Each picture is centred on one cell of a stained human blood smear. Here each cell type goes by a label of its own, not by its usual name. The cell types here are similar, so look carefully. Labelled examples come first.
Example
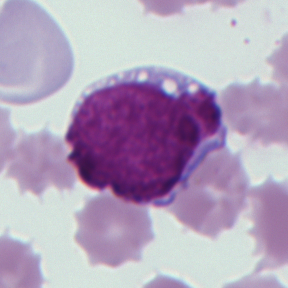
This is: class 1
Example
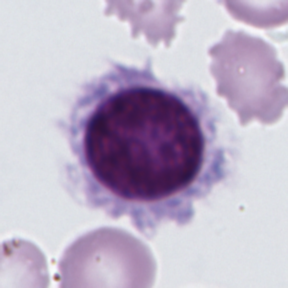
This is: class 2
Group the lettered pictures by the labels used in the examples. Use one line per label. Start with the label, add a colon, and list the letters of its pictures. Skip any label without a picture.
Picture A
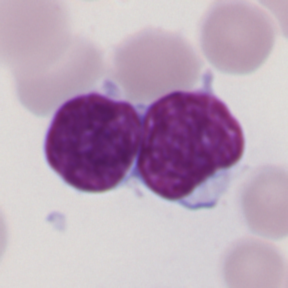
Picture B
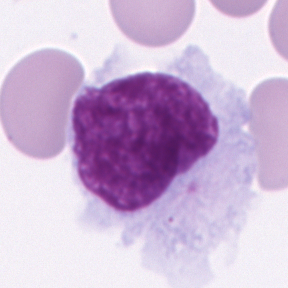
class 1: A
class 2: B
